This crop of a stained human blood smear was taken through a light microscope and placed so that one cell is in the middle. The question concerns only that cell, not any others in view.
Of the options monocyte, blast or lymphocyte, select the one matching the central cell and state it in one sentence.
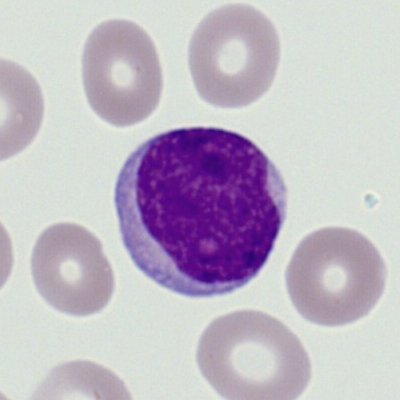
Answering briefly, the cell in the middle is a blast.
